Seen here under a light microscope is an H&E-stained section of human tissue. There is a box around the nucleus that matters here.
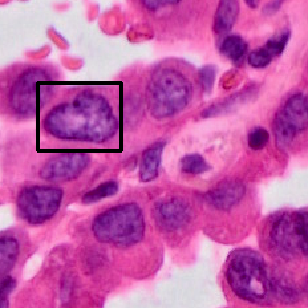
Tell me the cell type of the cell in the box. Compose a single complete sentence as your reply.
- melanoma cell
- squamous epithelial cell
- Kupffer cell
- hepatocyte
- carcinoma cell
Assigned to a cell type, the cell in the box is a carcinoma cell.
